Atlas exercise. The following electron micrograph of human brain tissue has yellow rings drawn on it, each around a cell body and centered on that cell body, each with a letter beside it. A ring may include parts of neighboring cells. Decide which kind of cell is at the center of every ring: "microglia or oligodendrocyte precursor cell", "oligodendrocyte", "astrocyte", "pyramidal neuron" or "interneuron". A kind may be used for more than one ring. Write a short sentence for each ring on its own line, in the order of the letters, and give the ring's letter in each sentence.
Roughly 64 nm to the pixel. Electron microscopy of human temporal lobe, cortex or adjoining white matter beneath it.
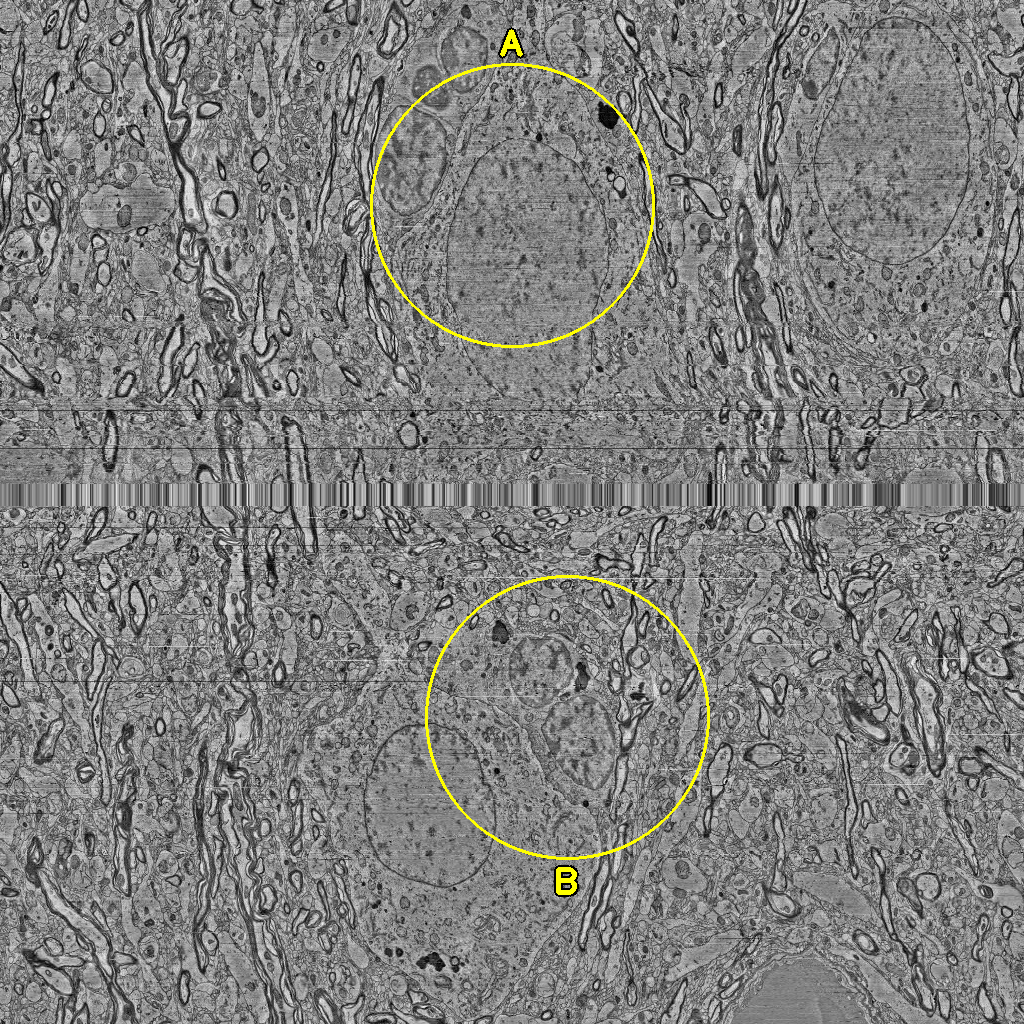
Ring A frames a pyramidal neuron at its center.
Ring B frames an oligodendrocyte at its center.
